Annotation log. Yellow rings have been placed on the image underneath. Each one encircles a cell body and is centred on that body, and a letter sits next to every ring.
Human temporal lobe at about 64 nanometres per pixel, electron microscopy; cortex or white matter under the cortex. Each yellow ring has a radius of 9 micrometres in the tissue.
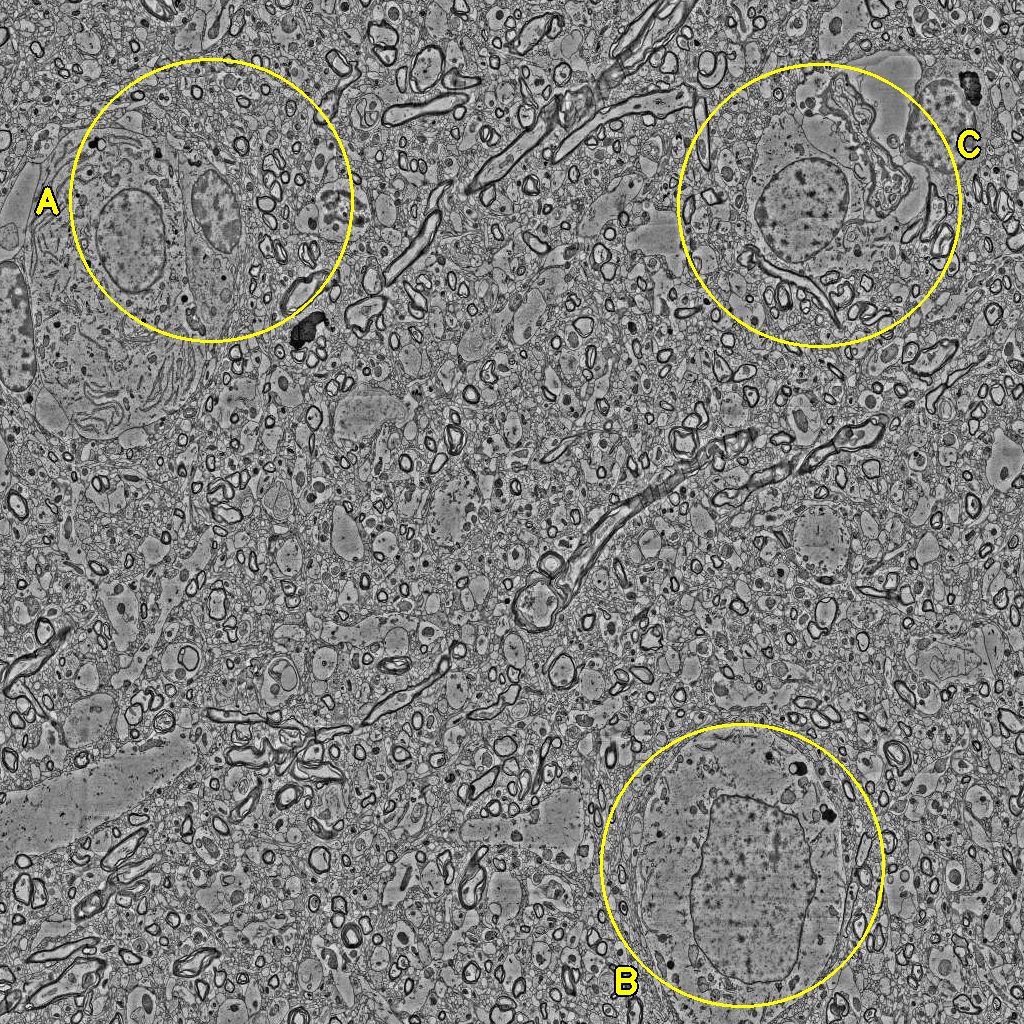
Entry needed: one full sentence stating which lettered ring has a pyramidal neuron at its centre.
The cell asked for sits at the centre of Ring B in the picture.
